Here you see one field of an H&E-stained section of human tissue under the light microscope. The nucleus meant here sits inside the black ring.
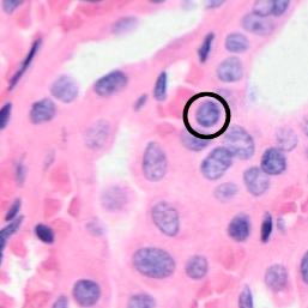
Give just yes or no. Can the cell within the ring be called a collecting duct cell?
yes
